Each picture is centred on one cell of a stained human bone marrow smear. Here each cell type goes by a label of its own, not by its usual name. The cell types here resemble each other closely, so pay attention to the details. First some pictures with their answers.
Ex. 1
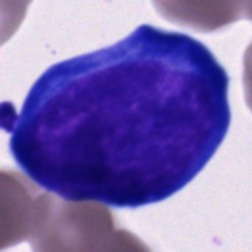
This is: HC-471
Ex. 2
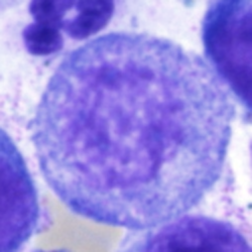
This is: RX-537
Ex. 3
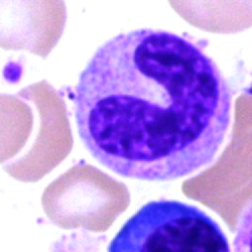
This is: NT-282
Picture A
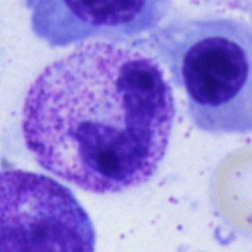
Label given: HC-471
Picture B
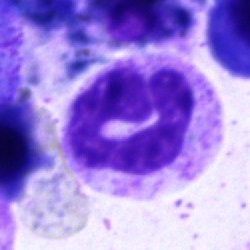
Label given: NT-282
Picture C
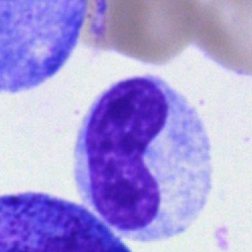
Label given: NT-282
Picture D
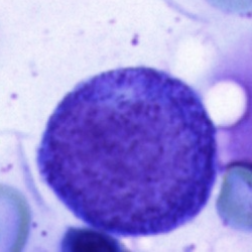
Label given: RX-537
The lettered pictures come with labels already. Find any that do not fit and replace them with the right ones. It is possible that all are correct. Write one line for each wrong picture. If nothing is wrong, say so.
A: NT-282, not HC-471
